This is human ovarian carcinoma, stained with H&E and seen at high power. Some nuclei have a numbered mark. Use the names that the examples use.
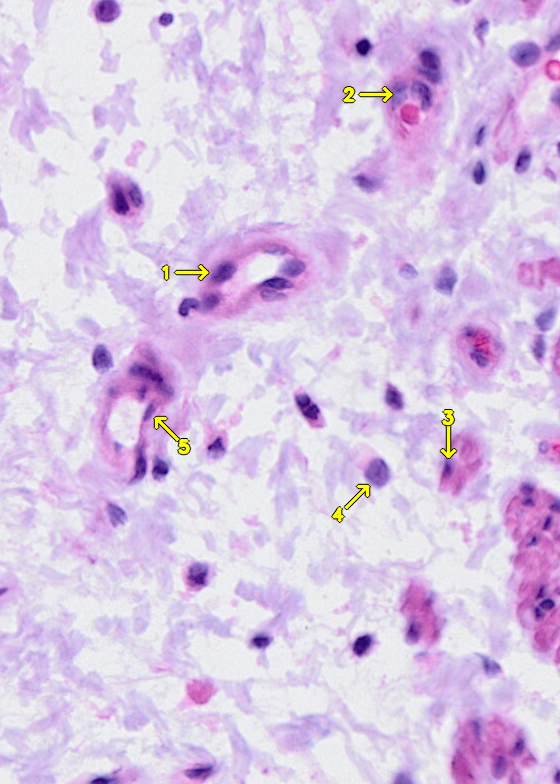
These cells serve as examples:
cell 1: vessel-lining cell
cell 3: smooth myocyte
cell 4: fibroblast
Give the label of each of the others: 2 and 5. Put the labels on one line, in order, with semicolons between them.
vessel-lining cell; vessel-lining cell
